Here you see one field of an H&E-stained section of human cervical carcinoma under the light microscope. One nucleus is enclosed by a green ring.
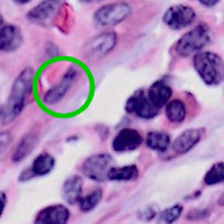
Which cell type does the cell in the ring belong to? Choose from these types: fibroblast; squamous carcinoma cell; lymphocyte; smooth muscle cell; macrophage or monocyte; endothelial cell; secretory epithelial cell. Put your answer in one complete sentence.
The cell in the ring appears to be an endothelial cell.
